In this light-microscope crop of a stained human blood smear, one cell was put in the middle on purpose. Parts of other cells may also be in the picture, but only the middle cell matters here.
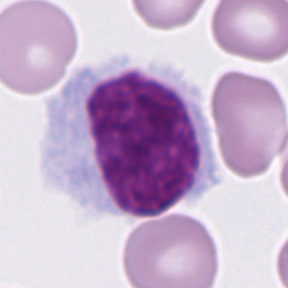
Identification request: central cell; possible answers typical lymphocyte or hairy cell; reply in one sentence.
The middle of this crop holds a hairy cell.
